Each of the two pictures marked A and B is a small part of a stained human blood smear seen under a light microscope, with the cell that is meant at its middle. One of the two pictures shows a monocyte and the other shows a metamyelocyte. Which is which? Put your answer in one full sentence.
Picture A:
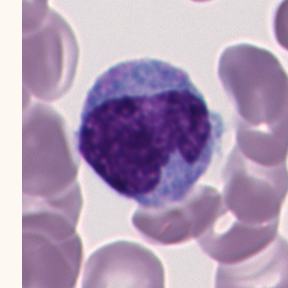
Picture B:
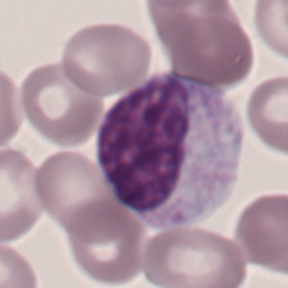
Picture B shows a metamyelocyte, while picture A shows a monocyte.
